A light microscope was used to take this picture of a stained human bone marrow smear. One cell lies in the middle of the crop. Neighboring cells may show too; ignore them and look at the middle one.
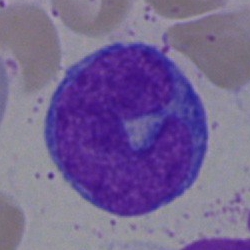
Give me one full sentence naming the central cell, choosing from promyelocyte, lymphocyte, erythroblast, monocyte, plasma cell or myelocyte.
The centrally located cell in the crop is a monocyte.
